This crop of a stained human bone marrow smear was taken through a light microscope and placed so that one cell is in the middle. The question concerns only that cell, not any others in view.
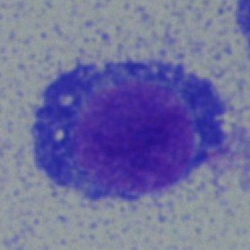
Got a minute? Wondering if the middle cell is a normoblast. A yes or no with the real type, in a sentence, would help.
No, the middle of the crop holds a plasma cell, not a normoblast.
